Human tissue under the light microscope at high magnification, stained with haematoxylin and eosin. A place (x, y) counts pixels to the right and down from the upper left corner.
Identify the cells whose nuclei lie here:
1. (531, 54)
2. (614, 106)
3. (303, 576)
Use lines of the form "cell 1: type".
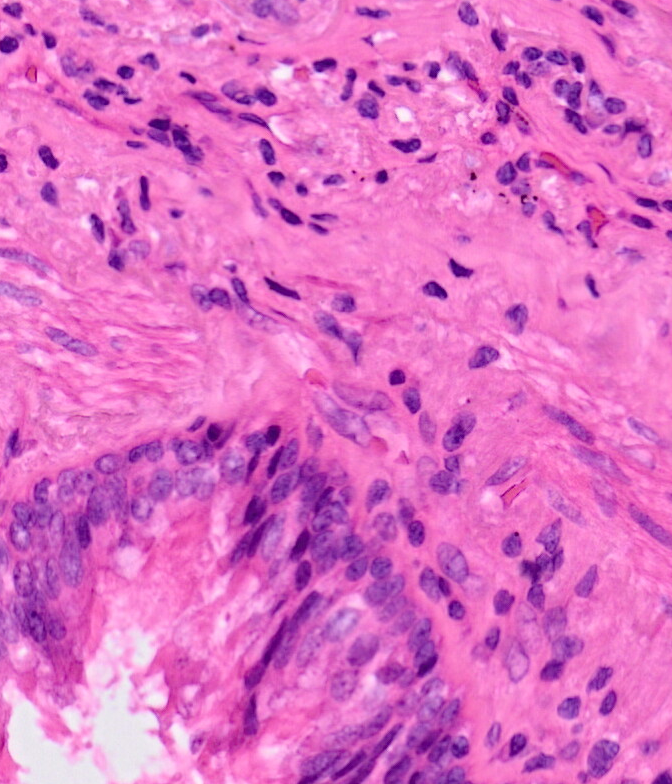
cell 1: lymphocyte
cell 2: lymphocyte
cell 3: ciliated epithelial cell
